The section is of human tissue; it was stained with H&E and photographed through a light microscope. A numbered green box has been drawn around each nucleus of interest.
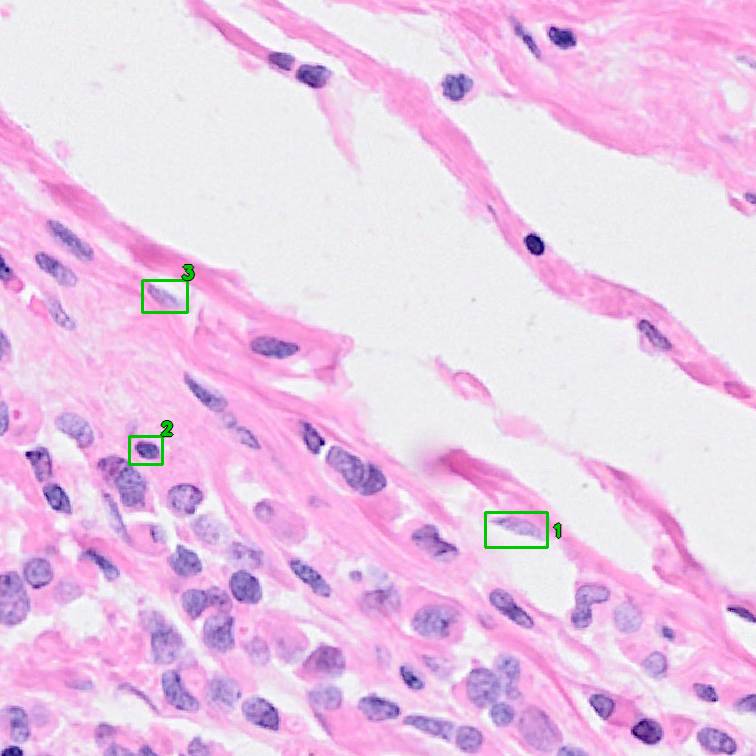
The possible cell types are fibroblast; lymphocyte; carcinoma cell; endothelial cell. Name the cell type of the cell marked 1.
fibroblast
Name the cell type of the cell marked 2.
lymphocyte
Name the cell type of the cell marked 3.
fibroblast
